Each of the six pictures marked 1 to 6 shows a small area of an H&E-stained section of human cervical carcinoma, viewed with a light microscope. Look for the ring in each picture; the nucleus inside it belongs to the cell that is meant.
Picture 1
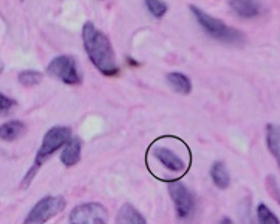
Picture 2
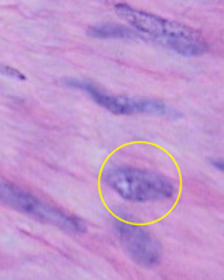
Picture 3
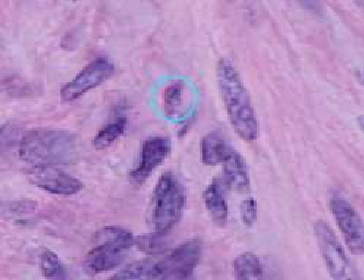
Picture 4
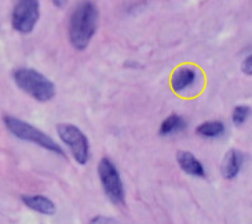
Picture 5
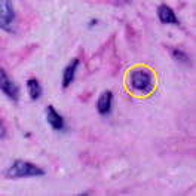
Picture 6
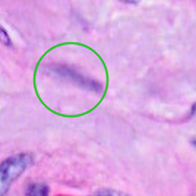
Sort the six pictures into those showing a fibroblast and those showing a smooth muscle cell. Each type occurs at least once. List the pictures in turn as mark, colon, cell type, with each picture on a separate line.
1: fibroblast
2: smooth muscle cell
3: smooth muscle cell
4: fibroblast
5: smooth muscle cell
6: fibroblast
